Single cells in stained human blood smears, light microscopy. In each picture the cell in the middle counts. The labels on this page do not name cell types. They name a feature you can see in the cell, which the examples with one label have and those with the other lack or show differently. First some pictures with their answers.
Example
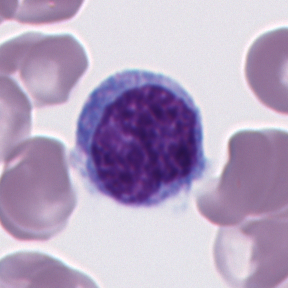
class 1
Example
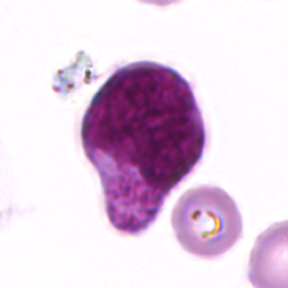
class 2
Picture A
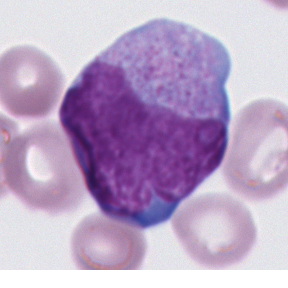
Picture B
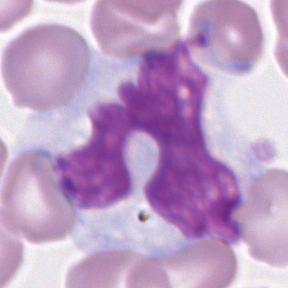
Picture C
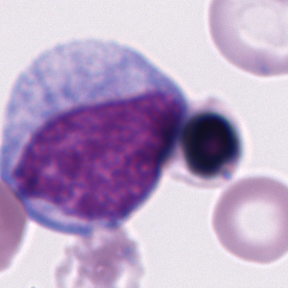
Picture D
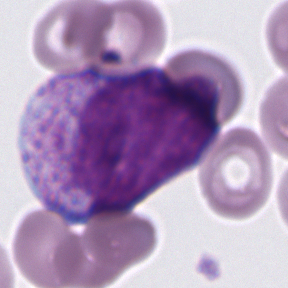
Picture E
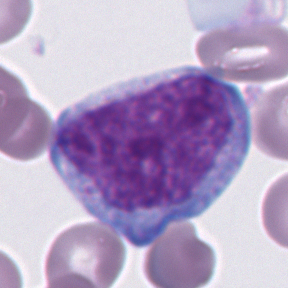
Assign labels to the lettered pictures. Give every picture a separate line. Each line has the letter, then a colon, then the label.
A: class 2
B: class 1
C: class 1
D: class 2
E: class 1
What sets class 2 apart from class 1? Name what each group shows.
class 2, many visible granules; class 1, no visible granules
